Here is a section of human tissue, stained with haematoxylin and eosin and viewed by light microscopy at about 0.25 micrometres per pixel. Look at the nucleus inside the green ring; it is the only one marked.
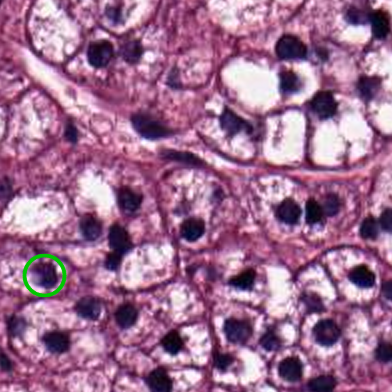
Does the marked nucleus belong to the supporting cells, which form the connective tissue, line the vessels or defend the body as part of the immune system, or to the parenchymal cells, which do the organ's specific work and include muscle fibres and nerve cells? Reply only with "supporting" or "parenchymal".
parenchymal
